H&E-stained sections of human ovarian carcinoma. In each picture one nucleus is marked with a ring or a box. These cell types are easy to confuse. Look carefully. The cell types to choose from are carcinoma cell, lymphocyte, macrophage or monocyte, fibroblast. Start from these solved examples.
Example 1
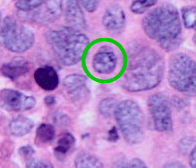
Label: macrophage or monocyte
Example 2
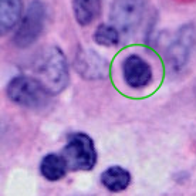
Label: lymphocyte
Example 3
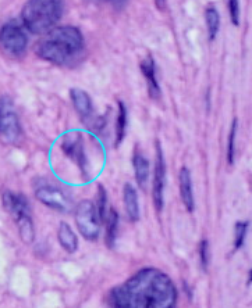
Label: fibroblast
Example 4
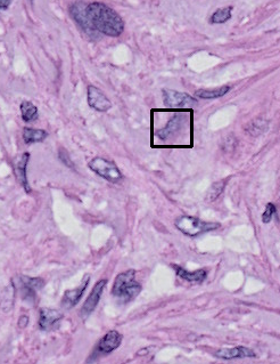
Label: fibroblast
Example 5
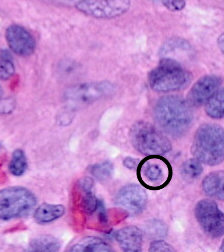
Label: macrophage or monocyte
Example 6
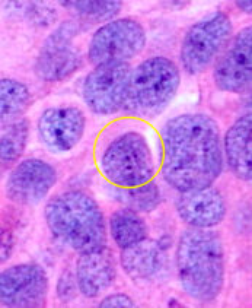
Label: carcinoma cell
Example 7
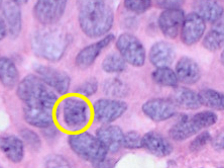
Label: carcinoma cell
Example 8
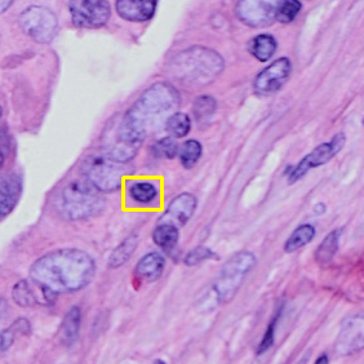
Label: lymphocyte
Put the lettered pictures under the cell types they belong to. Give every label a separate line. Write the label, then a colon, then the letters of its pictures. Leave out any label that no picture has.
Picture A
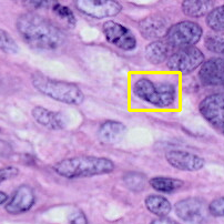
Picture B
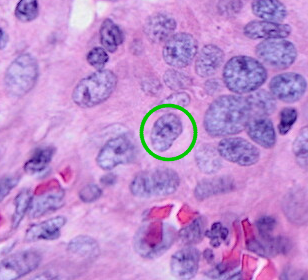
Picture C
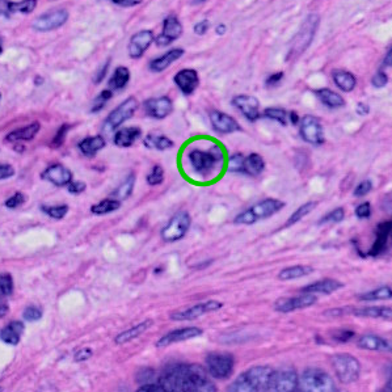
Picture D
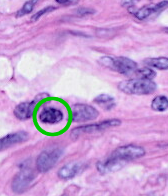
lymphocyte: C, D
macrophage or monocyte: A, B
